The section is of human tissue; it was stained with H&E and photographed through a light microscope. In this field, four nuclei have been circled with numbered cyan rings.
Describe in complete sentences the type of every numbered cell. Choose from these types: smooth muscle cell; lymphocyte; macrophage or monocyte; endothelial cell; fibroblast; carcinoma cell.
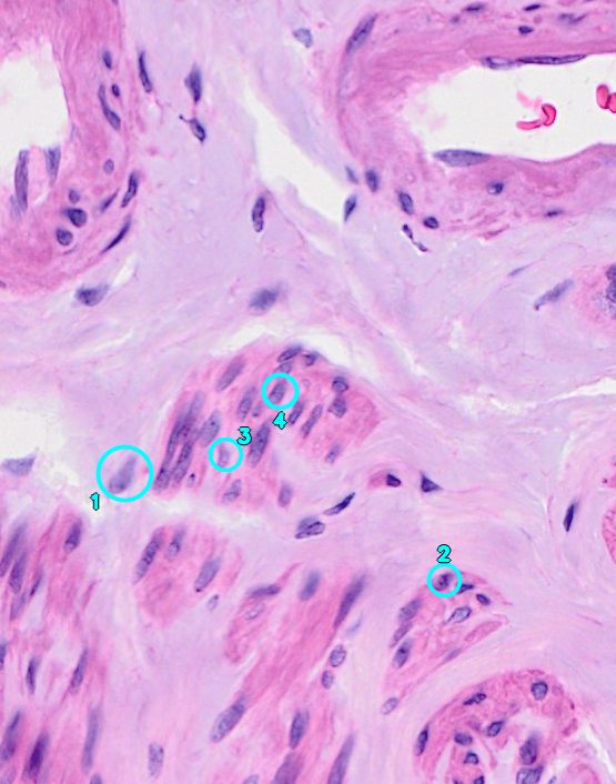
Cell 1 is a fibroblast, cell 2 is a smooth muscle cell, cell 3 is a smooth muscle cell and cell 4 is a smooth muscle cell.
